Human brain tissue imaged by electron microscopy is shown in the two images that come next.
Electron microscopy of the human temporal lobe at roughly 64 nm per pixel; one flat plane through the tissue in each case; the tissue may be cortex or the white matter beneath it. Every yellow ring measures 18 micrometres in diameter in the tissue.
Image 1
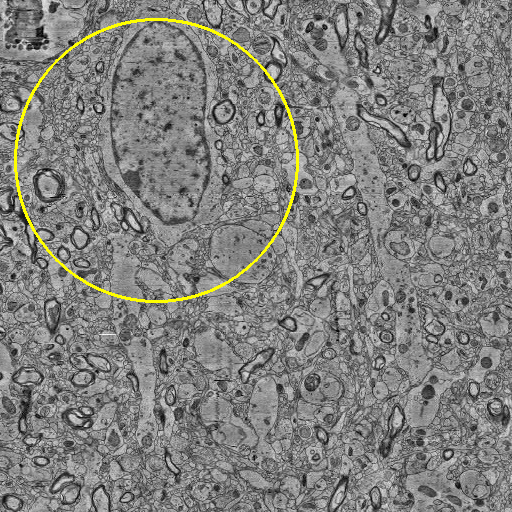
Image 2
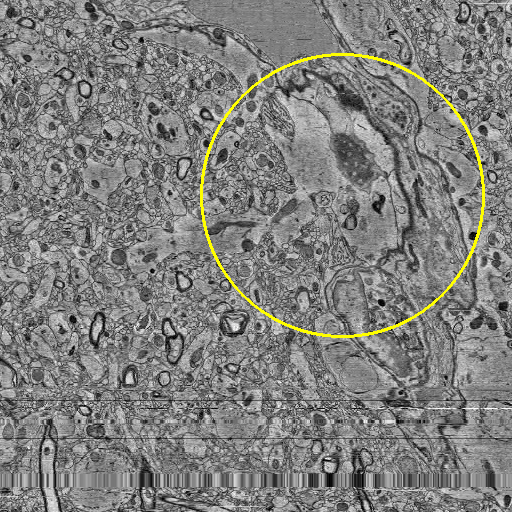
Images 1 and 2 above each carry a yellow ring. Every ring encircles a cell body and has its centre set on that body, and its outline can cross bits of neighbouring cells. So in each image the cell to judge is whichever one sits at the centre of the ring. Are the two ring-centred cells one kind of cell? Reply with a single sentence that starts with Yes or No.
No, in Image 1 and Image 2 the cells at the centres of their rings fall into two types.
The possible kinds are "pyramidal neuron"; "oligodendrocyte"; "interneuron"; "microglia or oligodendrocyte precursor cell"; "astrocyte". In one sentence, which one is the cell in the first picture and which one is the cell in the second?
The cell ringed in the second picture is an oligodendrocyte, whereas the one ringed in the first is a microglial cell or oligodendrocyte precursor cell.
